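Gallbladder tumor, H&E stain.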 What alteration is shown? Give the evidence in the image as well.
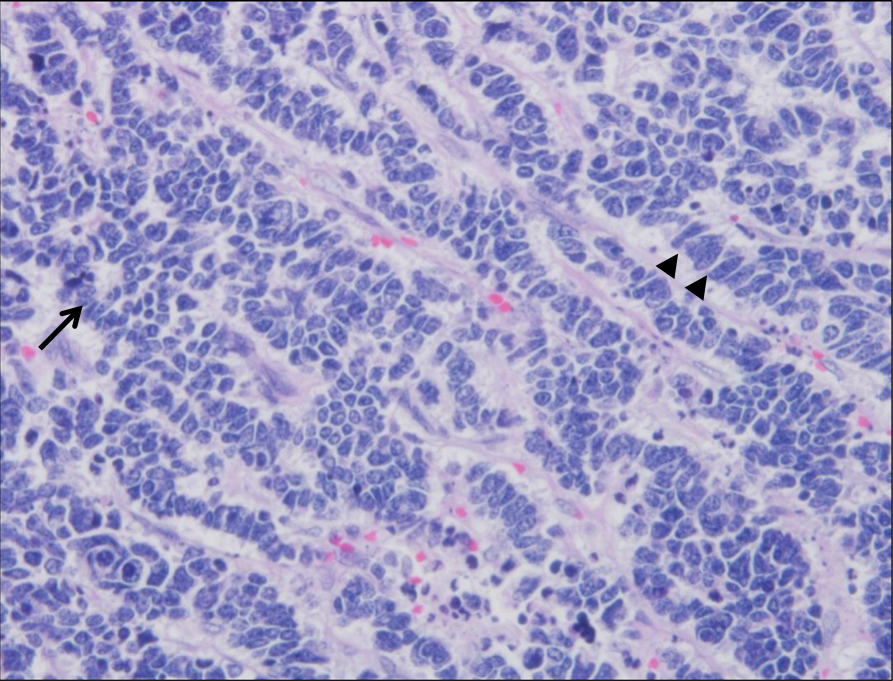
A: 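Hyperchromatic nuclei with scant cytoplasm. Nuclei are dark blue-purple. Very little cytoplasm surrounds each nucleus. Cells are densely packed with little intervening stroma.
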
